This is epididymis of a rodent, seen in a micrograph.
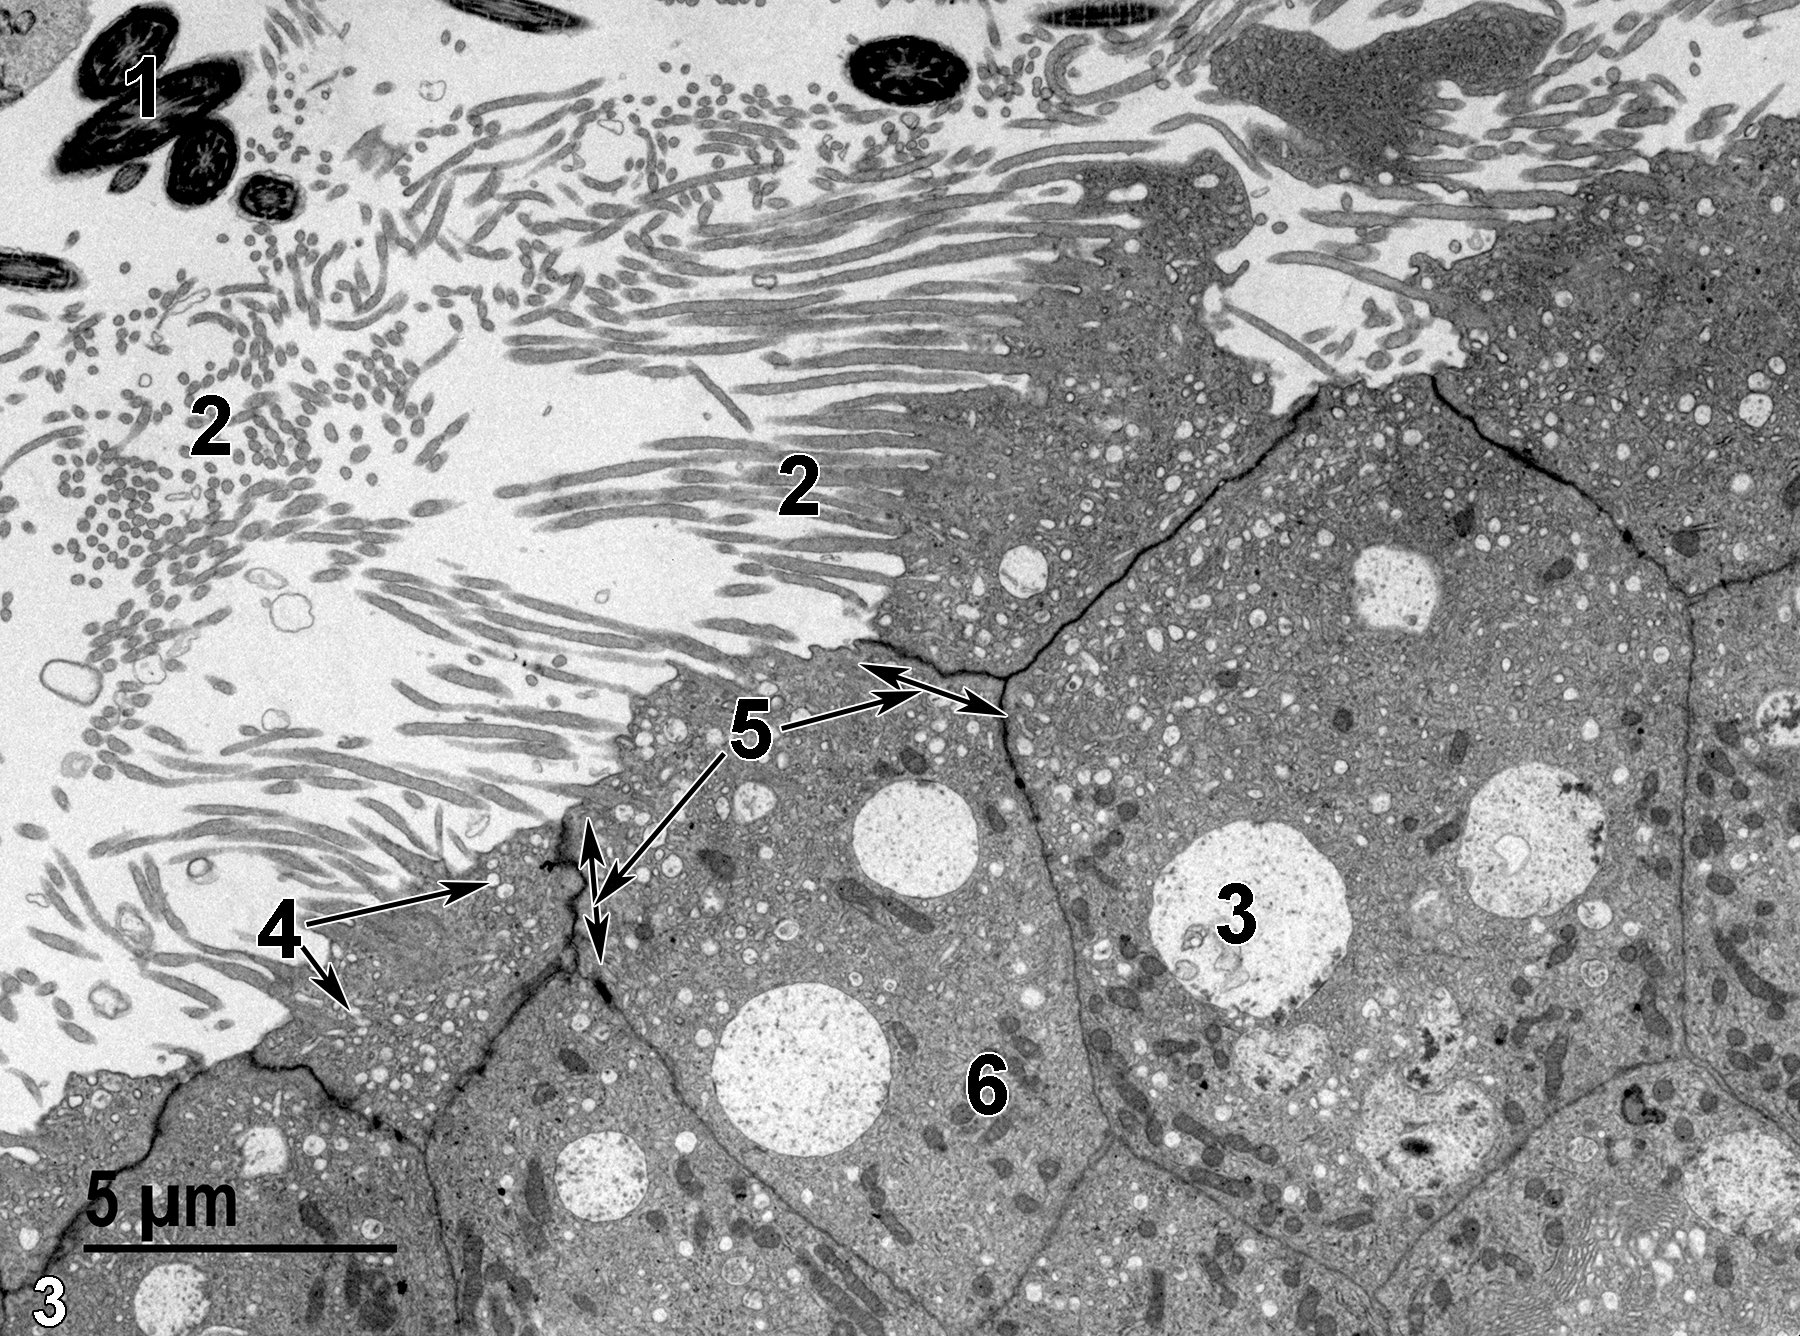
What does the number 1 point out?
midpieces of spermatozoa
